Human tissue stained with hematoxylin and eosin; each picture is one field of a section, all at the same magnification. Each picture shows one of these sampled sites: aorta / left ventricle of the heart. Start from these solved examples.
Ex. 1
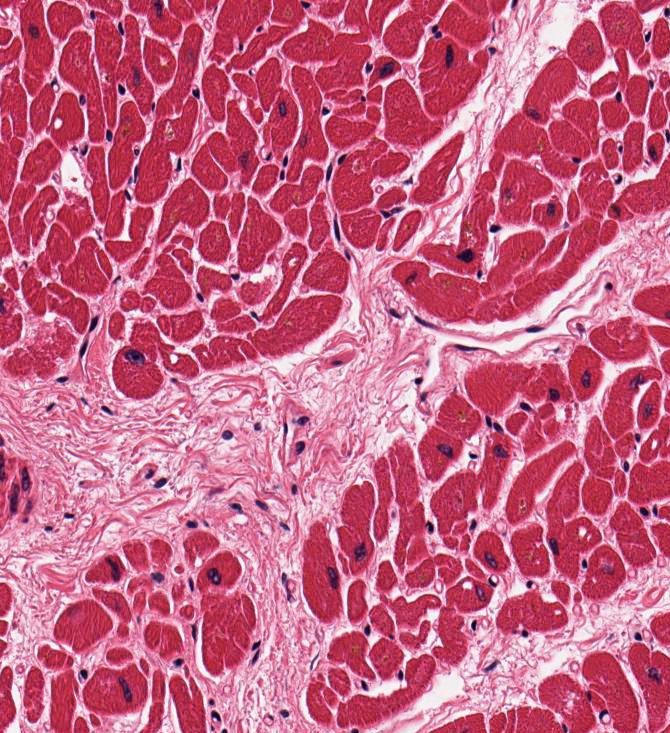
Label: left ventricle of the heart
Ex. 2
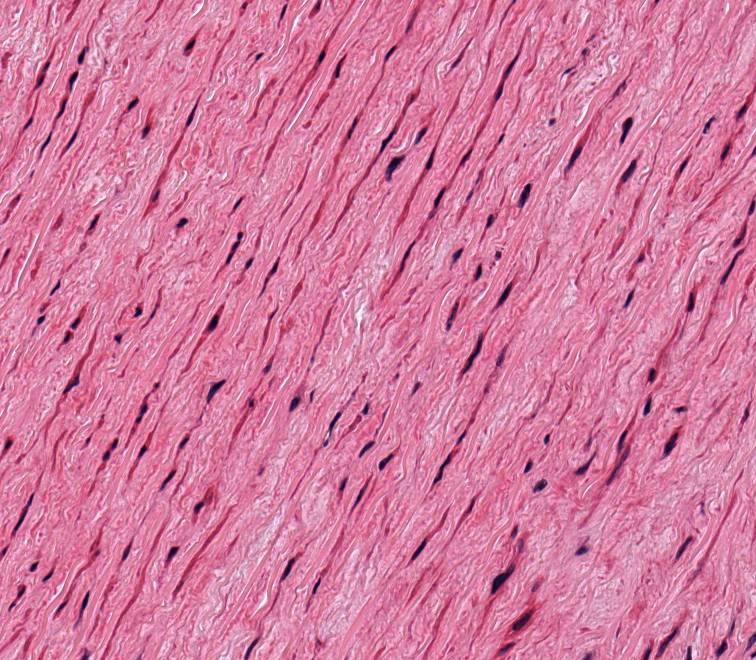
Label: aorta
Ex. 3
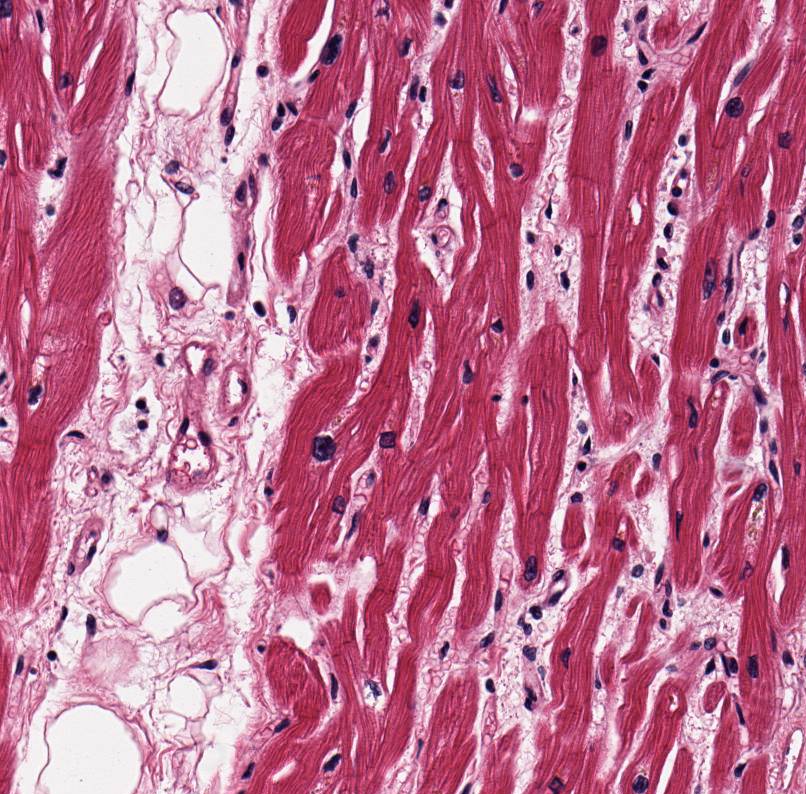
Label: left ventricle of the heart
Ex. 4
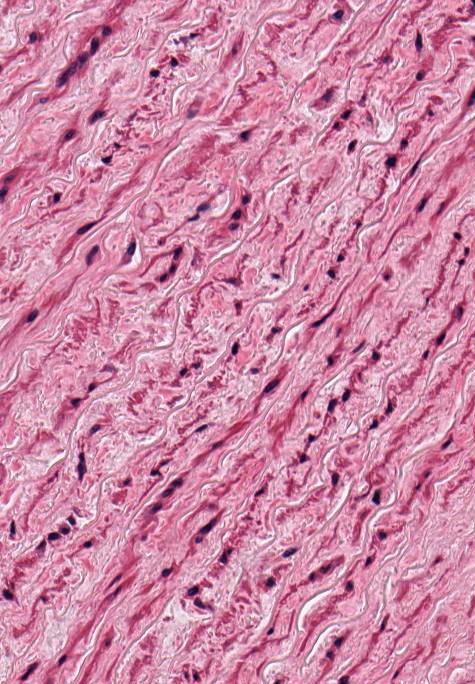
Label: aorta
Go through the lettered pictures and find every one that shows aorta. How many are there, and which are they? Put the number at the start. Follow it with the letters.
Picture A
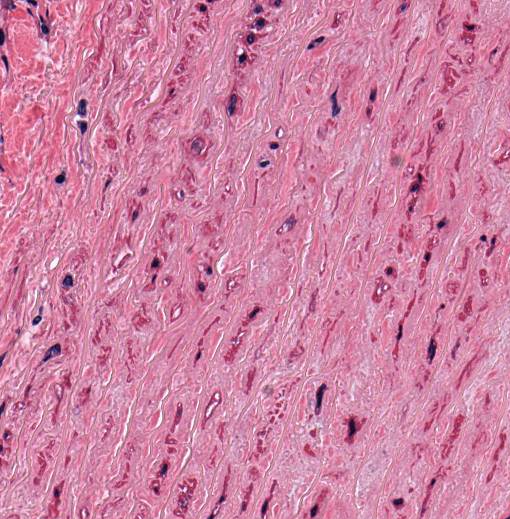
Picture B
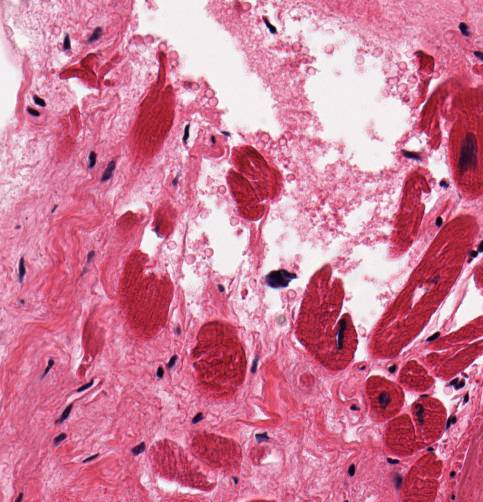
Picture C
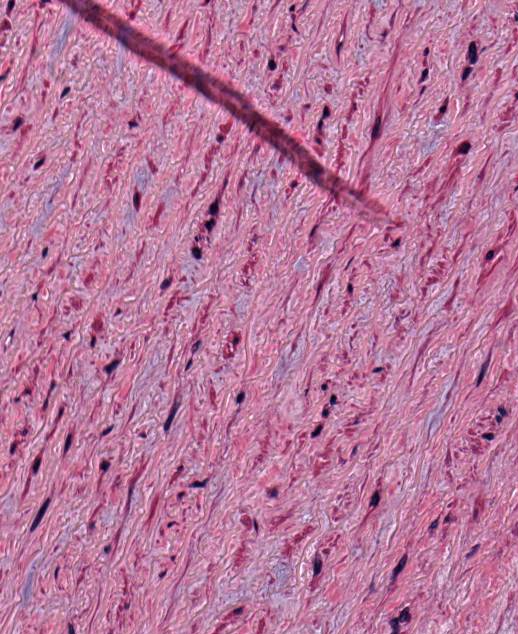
2: A, C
